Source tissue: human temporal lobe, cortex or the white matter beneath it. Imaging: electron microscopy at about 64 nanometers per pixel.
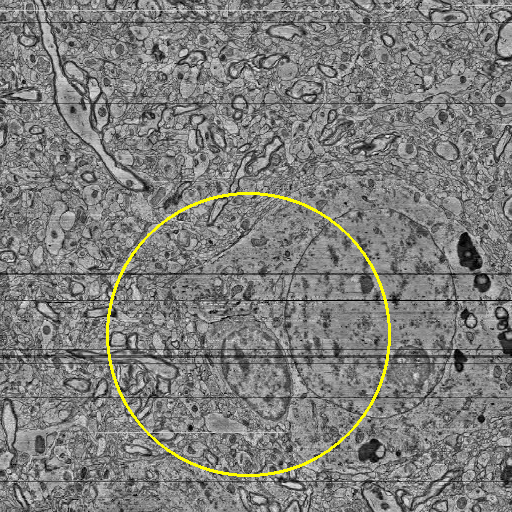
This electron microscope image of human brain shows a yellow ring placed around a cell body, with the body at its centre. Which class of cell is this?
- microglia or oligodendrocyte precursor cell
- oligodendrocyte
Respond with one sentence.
The cell body at the ring's centre is an oligodendrocyte.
